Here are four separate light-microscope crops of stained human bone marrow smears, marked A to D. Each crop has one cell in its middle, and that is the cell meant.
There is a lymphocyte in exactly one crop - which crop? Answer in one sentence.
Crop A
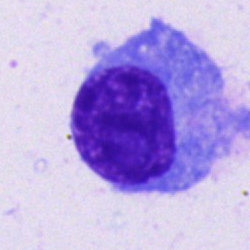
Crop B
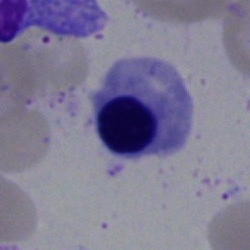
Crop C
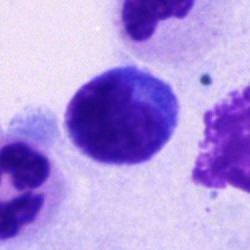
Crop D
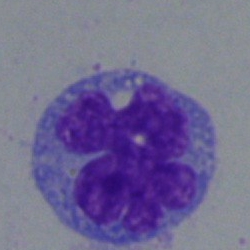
Of the cells presented, the one in crop C is a lymphocyte.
